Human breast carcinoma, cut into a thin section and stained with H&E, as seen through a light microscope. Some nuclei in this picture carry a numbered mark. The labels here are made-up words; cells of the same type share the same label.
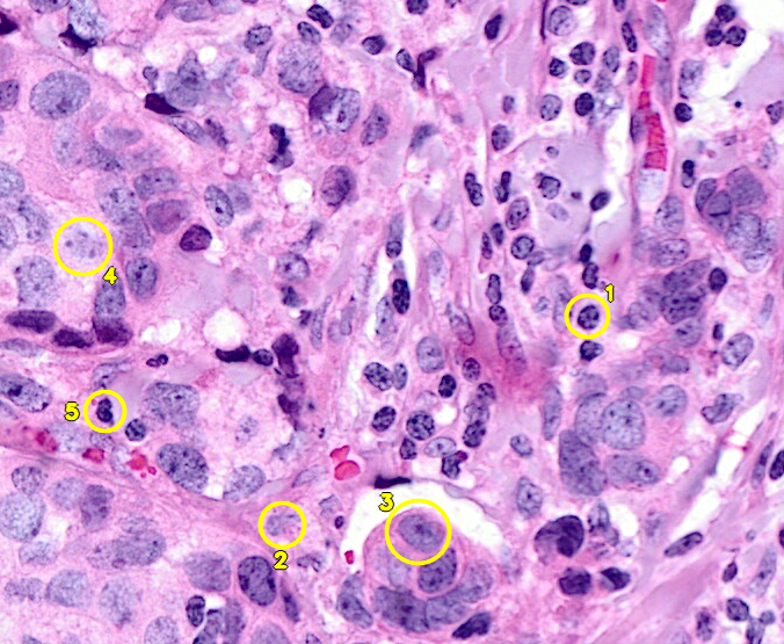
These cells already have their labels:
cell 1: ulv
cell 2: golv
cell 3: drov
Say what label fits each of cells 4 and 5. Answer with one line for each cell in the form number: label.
4: drov
5: ulv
